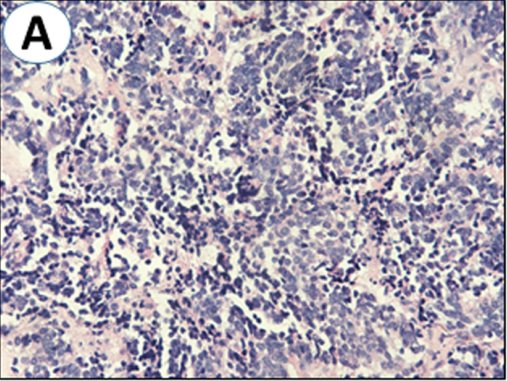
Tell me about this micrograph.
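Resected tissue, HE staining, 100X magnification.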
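This is a tumour made of small cells with scant cytoplasm, packed together in solid sheets. The nuclei are dark blue, round to oval and crowded closely against one another. Around each nucleus there is hardly any visible cytoplasm, so the field looks almost entirely blue. No glands or other organised structures are formed; the cells simply fill the space in sheets, broken only by thin strands of pale stroma and small clefts.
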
